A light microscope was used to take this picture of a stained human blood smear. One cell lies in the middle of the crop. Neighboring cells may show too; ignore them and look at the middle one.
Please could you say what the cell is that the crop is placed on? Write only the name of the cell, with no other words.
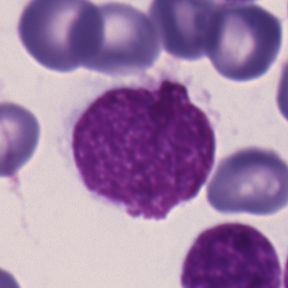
myeloblast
